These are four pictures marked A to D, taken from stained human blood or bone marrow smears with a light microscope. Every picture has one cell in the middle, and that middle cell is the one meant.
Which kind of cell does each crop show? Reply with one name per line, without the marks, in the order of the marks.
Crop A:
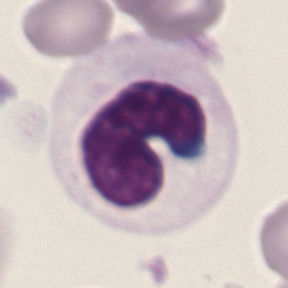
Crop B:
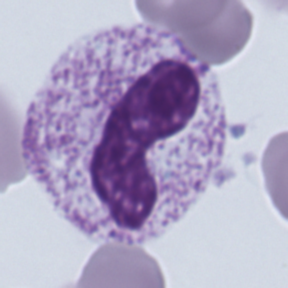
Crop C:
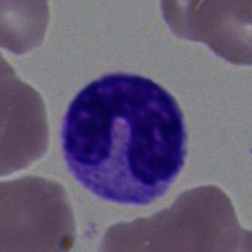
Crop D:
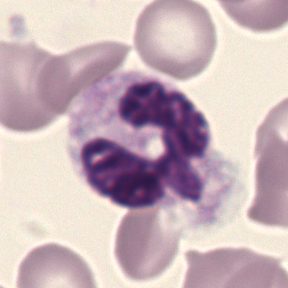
band neutrophil
band neutrophil
band neutrophil
segmented neutrophil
